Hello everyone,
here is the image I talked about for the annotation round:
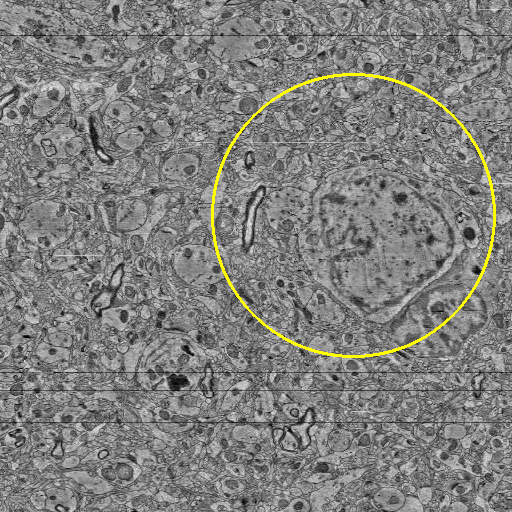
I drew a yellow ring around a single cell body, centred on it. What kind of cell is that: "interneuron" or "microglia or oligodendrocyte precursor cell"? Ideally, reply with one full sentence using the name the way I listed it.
The cell your yellow ring is centred on is an interneuron, going by your list.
